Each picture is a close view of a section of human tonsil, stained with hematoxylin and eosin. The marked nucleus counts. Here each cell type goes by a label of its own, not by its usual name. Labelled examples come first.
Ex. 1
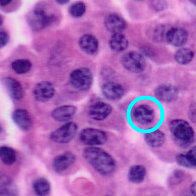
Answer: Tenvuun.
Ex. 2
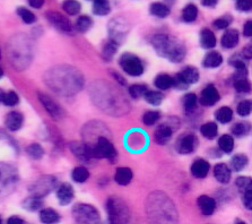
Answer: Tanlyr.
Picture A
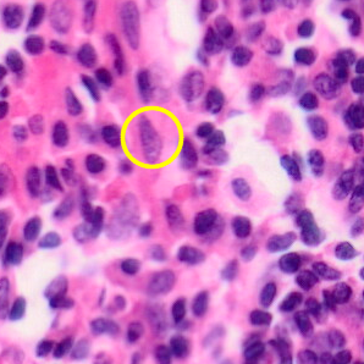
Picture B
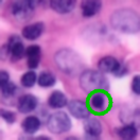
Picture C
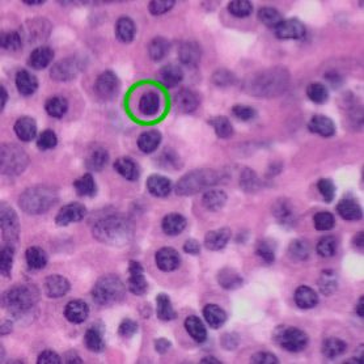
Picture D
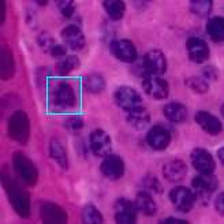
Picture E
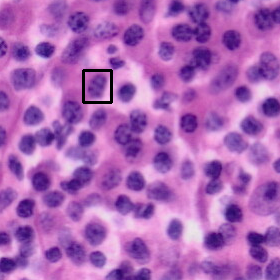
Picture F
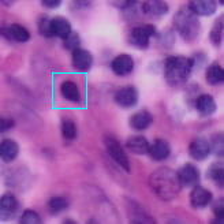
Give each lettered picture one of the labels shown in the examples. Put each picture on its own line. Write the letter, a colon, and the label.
A: Tanlyr.
B: Tanlyr.
C: Tenvuun.
D: Tenvuun.
E: Tenvuun.
F: Tanlyr.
